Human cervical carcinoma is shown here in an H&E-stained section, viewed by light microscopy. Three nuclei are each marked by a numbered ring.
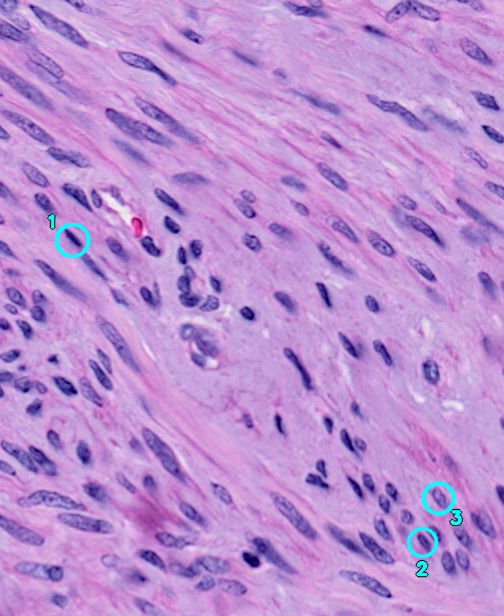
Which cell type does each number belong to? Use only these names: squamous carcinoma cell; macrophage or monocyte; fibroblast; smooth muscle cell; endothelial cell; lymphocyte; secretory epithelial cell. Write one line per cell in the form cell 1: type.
cell 1: fibroblast
cell 2: smooth muscle cell
cell 3: smooth muscle cell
